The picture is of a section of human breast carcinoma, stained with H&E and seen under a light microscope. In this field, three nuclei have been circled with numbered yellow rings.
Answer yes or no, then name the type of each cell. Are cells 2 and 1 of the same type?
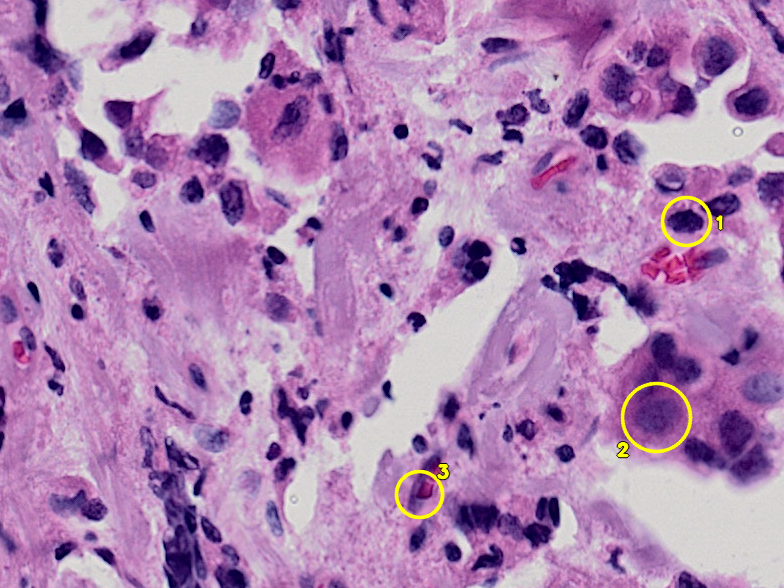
Yes, both are carcinoma cells.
